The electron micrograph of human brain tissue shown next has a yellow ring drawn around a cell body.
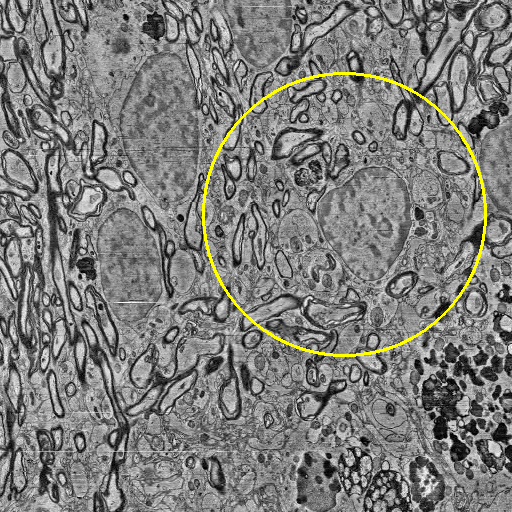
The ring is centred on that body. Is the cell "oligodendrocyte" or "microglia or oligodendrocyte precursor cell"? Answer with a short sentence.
The cell in question is a microglial cell or oligodendrocyte precursor cell.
